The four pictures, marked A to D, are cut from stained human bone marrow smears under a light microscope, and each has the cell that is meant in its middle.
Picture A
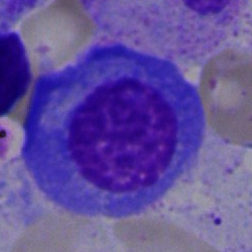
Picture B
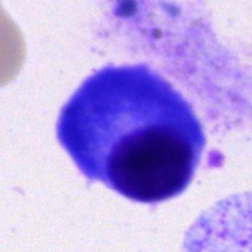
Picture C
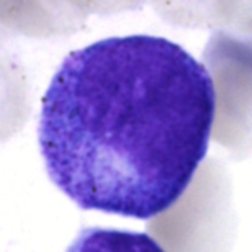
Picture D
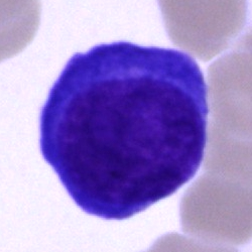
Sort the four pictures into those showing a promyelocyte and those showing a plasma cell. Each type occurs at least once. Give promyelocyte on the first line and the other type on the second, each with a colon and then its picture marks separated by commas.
promyelocyte: C
plasma cell: A, B, D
